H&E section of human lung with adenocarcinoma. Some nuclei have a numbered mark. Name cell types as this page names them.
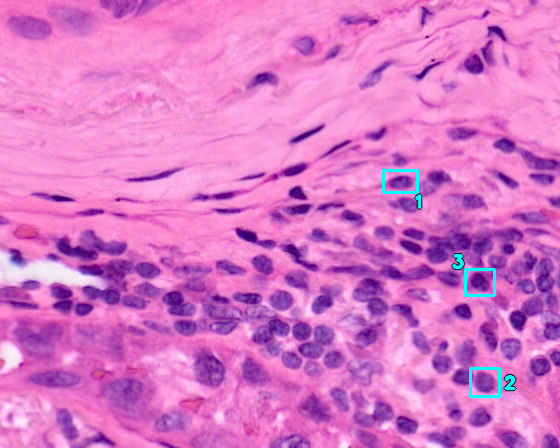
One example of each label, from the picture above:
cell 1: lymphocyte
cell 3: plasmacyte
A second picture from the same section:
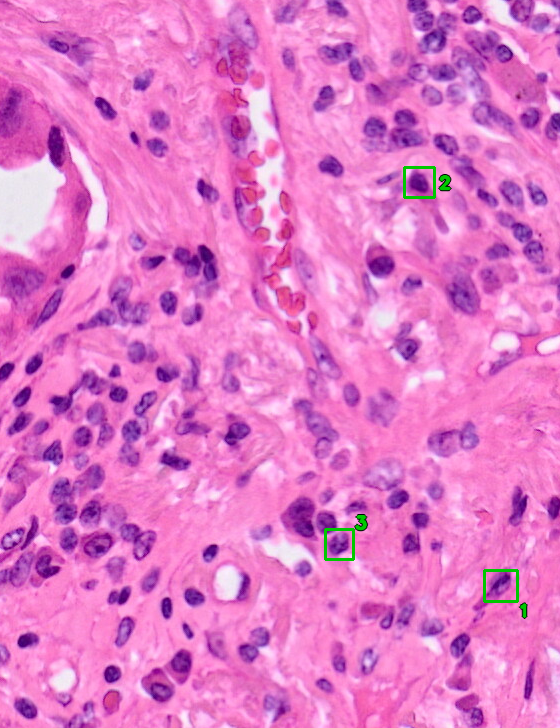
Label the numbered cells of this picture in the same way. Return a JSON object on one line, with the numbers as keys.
{"1": "plasmacyte", "2": "plasmacyte", "3": "lymphocyte"}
